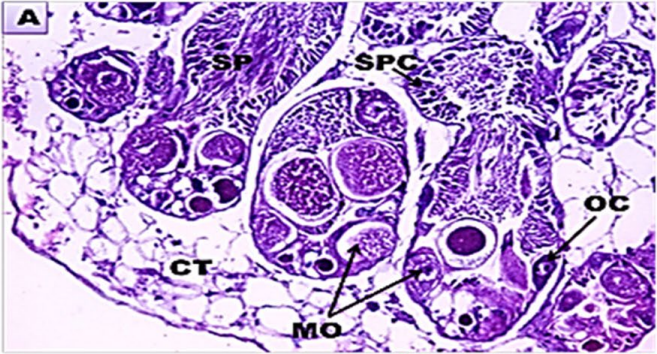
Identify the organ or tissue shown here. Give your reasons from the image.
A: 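Rounded acini hold large oocytes with round nuclei. Other acini hold bundles of thread-like sperm. Loose vacuolated tissue lies between the acini.
Hence: hermaphrodite gland.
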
